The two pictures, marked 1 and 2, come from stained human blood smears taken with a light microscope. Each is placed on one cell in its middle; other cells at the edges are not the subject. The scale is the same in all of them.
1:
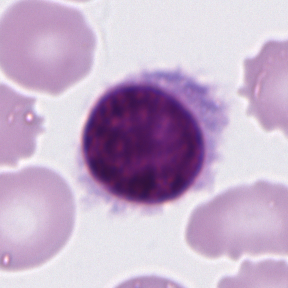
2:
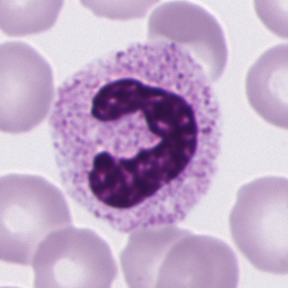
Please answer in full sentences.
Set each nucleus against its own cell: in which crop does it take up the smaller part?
The nucleus fills less of the cell in crop 2 than in crop 1.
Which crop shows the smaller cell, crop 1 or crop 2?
It is the cell in crop 1; the cell in crop 2 has about 1.5 times its area.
